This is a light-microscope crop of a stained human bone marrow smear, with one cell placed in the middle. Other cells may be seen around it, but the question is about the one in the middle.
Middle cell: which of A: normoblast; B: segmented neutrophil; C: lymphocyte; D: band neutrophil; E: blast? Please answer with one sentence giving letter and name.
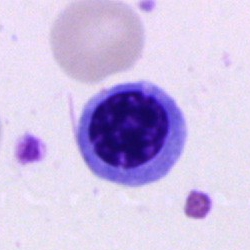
The cell centered in the crop is a normoblast, making option A the correct pick.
